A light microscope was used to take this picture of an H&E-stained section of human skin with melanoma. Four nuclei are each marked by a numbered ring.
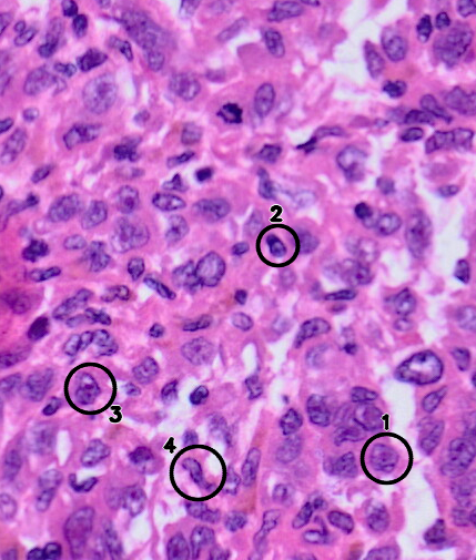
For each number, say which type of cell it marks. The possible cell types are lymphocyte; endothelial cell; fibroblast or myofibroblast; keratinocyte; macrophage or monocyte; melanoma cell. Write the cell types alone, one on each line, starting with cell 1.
melanoma cell
lymphocyte
melanoma cell
macrophage or monocyte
